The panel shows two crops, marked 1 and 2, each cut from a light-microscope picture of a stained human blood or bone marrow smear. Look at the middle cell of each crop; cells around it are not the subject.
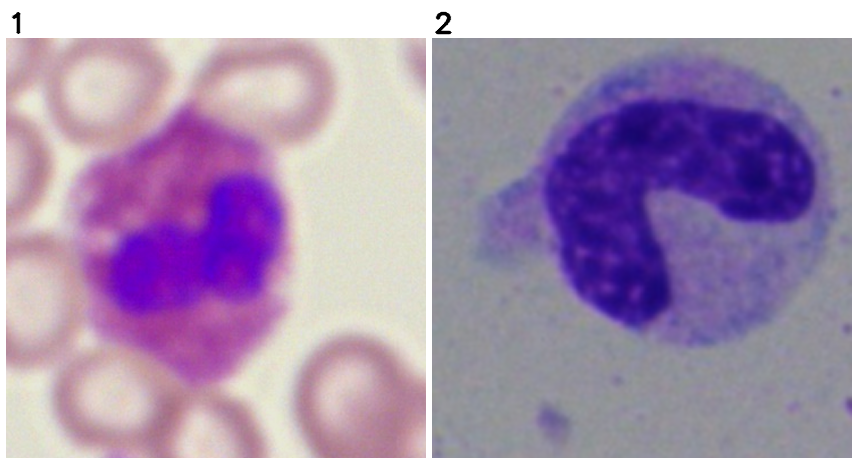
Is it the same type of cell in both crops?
no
